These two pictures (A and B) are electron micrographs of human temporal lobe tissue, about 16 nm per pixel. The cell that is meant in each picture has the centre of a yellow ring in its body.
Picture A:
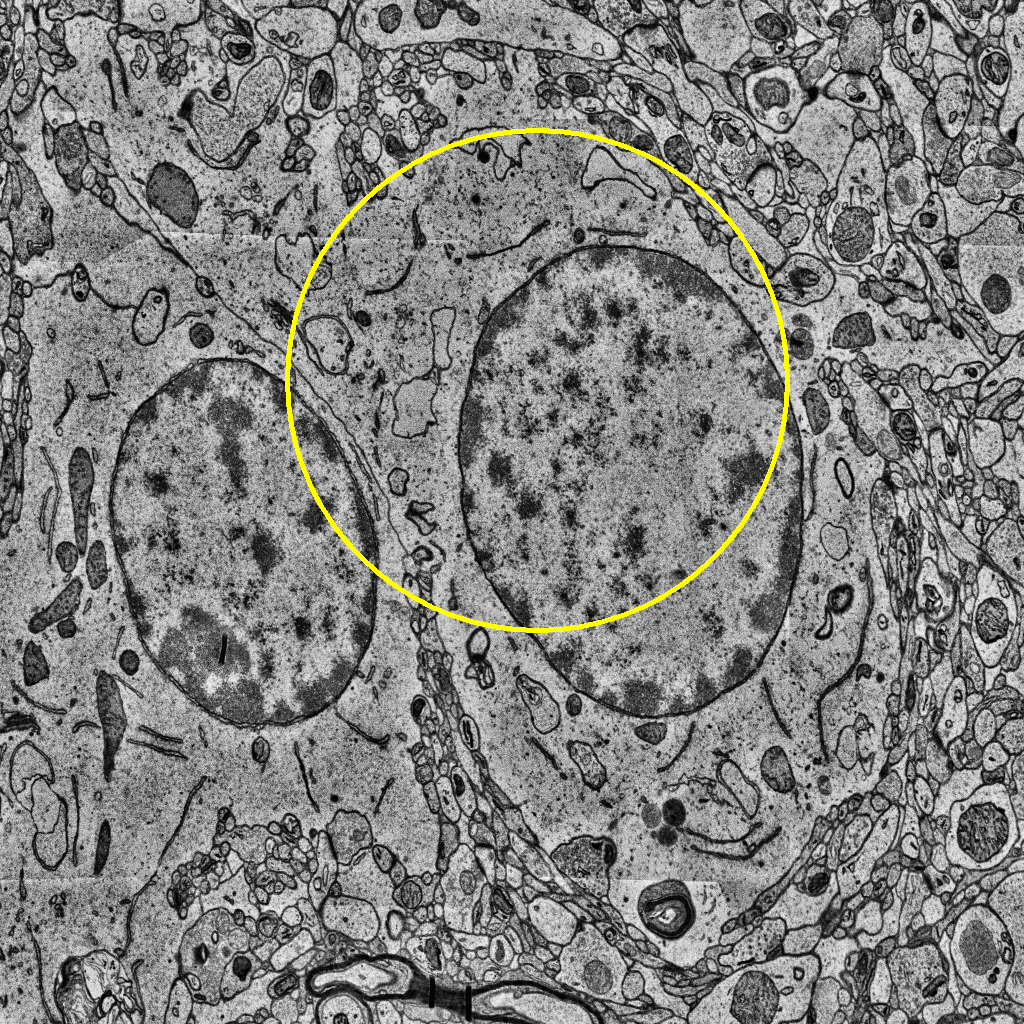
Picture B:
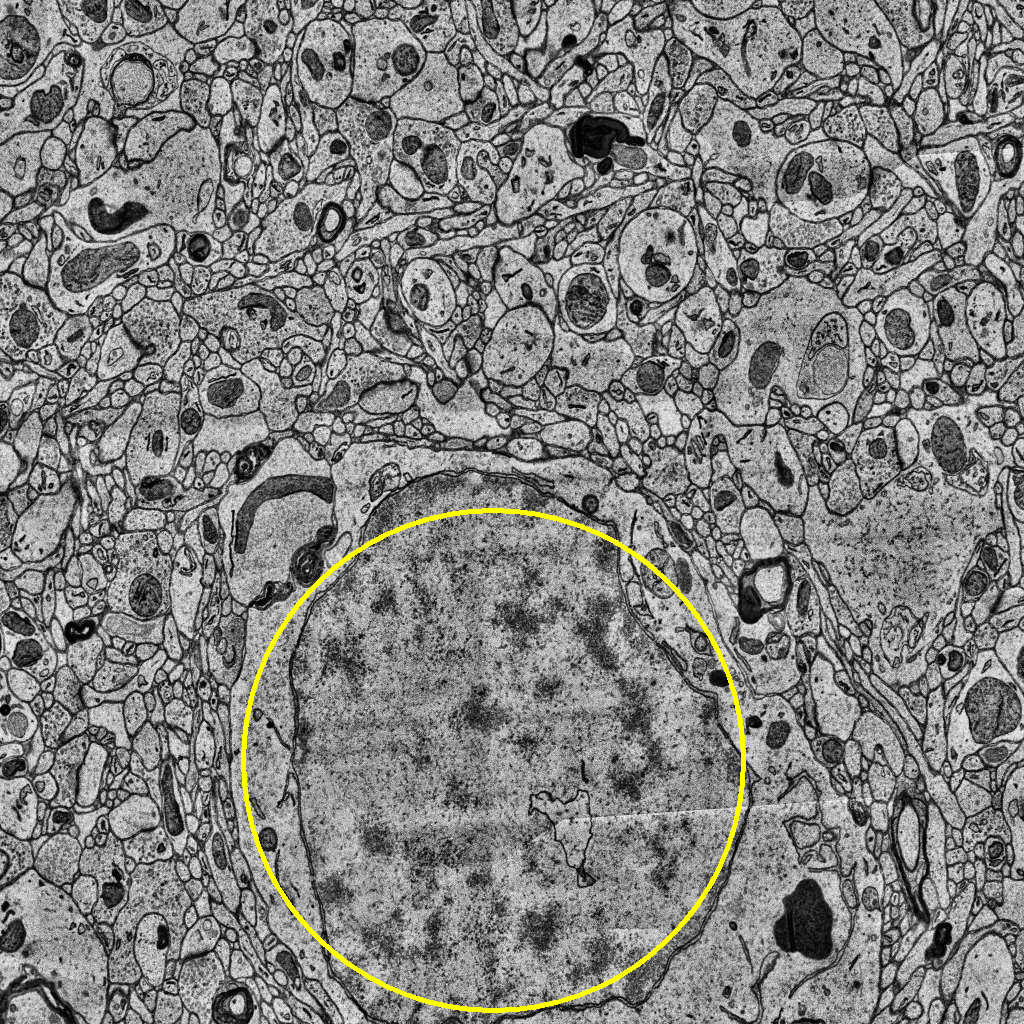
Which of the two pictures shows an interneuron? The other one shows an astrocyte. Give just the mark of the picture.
B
